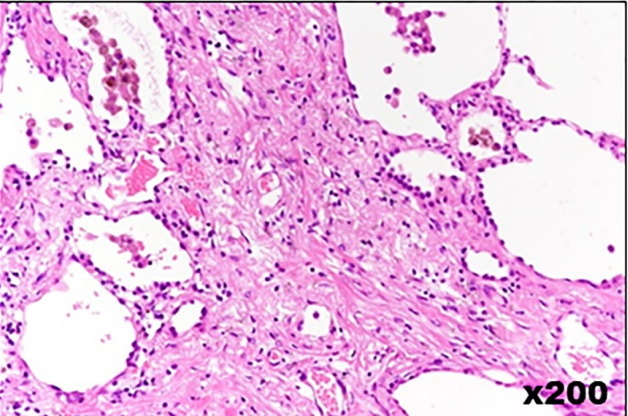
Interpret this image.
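Lung tissue with a fibrotic focus at high magnification. The centre is taken up by pale pink, wavy fibrous stroma in which many spindle-shaped cells with elongated, dark nuclei lie in loose streams, consistent with fibroblast proliferation. The fibrous tissue surrounds small air spaces and thin-walled vessels, some containing red blood cells, and small rounded cells float within some lumens. At the edges the fibrosis gives way to air spaces lined by thin walls with flat and cuboidal lining cells, so the general lung framework of alveoli and vessels remains recognisable.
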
